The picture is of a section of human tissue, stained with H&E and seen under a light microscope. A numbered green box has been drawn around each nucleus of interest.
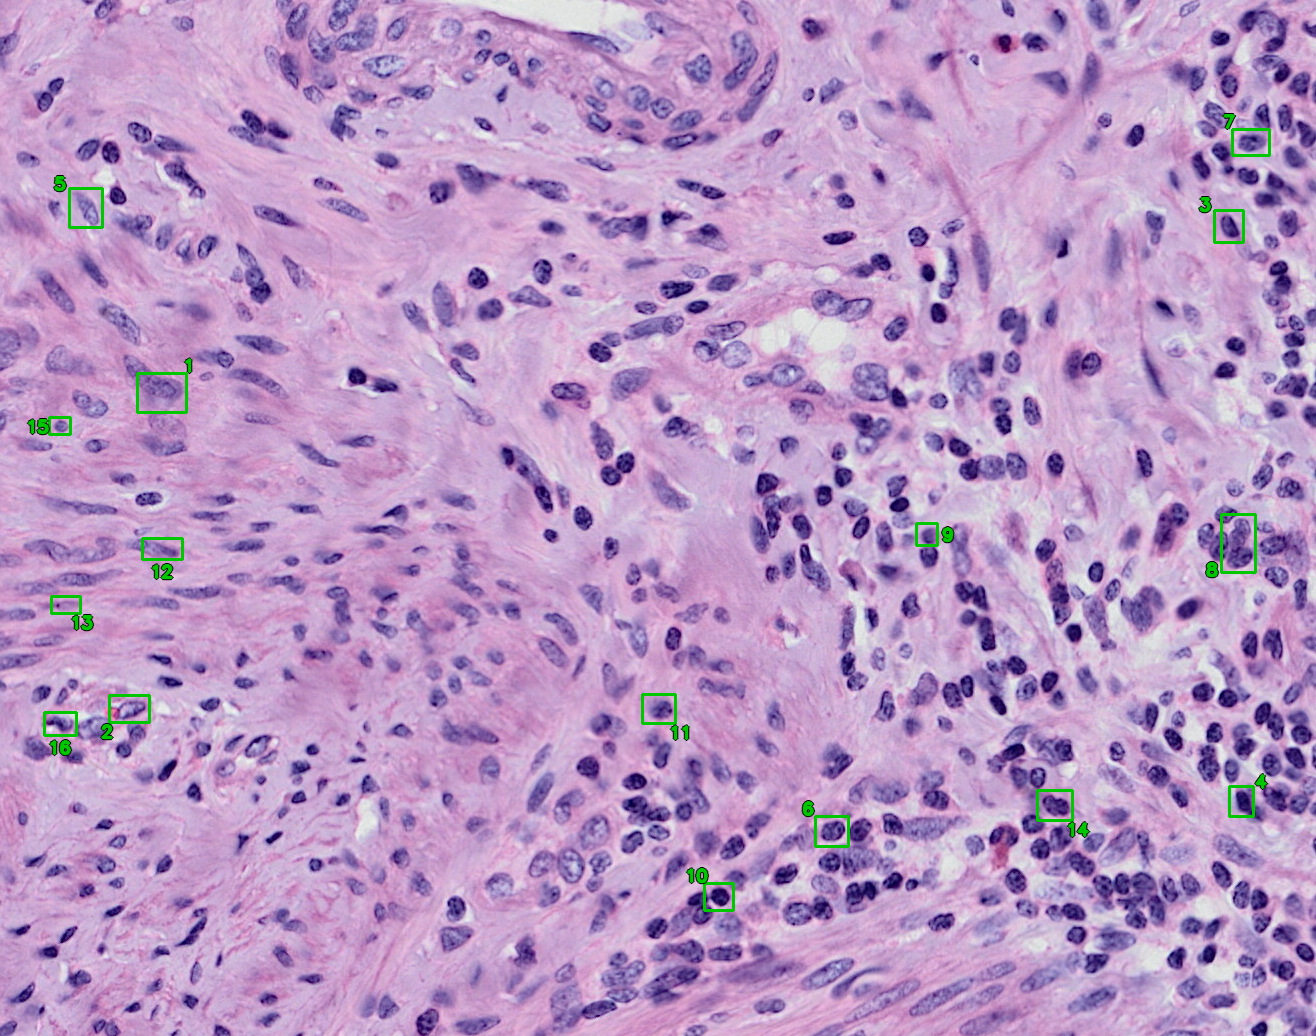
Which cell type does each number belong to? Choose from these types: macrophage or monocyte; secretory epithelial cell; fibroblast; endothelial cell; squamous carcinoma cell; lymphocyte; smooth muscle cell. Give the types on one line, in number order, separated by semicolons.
smooth muscle cell; endothelial cell; lymphocyte; lymphocyte; fibroblast; lymphocyte; lymphocyte; lymphocyte; lymphocyte; lymphocyte; lymphocyte; smooth muscle cell; smooth muscle cell; lymphocyte; smooth muscle cell; endothelial cell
